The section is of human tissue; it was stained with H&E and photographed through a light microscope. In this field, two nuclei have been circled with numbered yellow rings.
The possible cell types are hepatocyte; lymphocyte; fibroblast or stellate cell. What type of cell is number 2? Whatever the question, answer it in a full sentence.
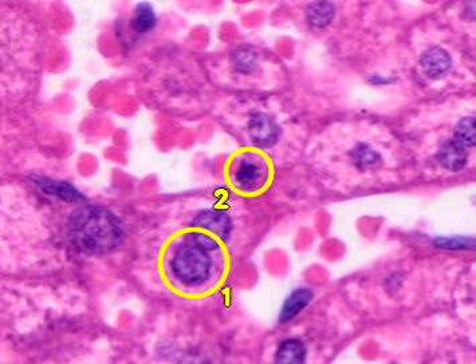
The cell to which the number 2 is assigned is a fibroblast or stellate cell.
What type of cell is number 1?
Within this field of view, the cell labelled 1 is a hepatocyte.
